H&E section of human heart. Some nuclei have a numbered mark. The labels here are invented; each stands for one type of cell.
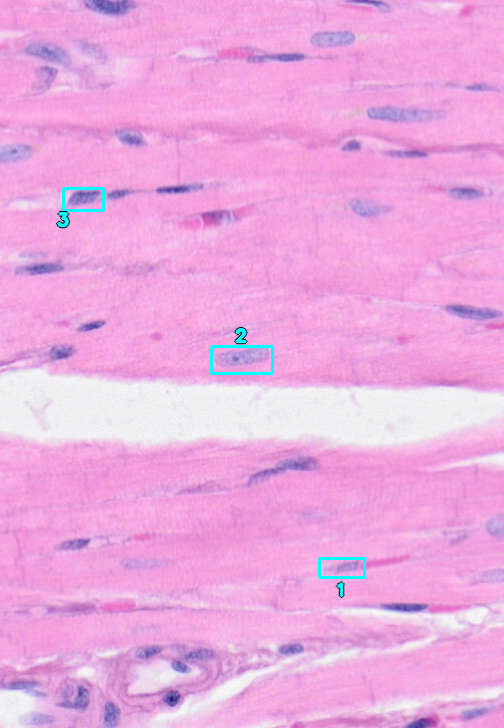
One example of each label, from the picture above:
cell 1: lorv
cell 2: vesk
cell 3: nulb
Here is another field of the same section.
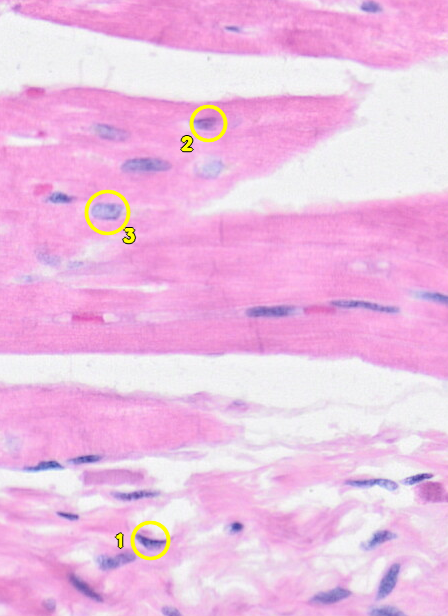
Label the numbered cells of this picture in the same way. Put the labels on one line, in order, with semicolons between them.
nulb; lorv; vesk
